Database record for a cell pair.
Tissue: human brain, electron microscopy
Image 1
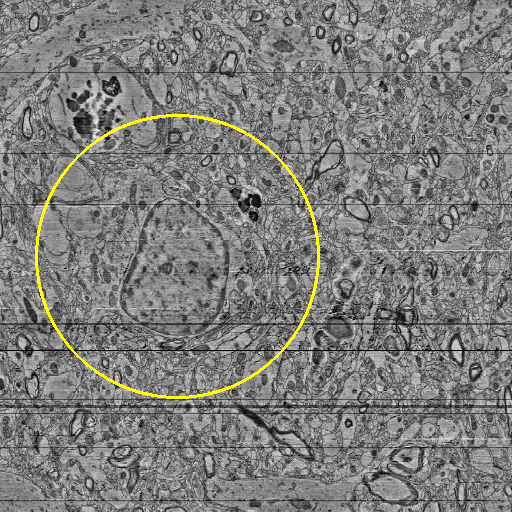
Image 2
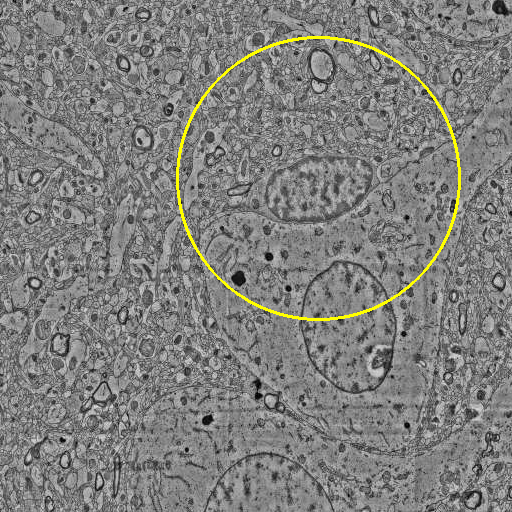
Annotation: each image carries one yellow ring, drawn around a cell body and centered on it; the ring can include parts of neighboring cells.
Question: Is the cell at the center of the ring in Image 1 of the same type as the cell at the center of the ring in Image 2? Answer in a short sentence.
No, the cells are of two types.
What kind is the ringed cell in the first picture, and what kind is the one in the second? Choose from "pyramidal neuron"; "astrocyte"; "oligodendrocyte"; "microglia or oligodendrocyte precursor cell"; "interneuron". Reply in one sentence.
The first cell is a microglial cell or oligodendrocyte precursor cell; the second is an oligodendrocyte.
